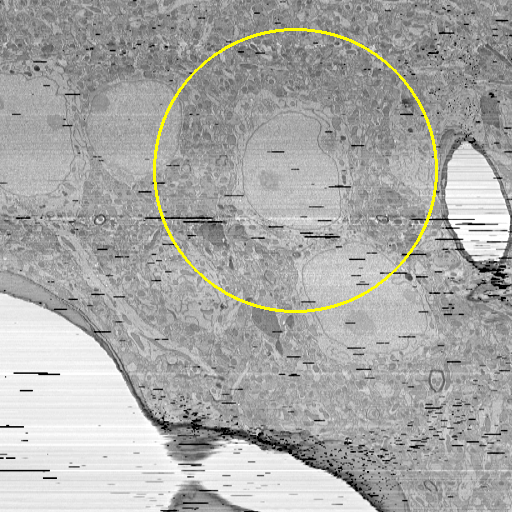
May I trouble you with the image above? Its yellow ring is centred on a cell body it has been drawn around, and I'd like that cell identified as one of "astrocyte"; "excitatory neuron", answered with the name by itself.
excitatory neuron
